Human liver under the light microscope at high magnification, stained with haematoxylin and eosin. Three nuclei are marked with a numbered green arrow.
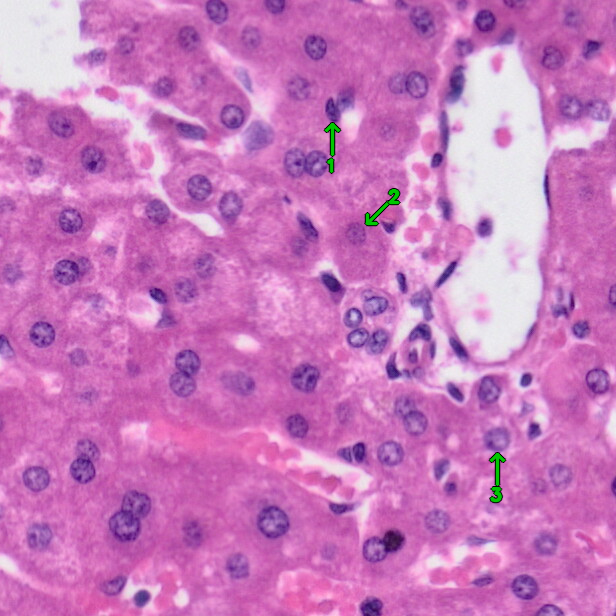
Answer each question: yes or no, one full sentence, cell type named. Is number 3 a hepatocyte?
Yes, the cell that bears the number 3 is a hepatocyte.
